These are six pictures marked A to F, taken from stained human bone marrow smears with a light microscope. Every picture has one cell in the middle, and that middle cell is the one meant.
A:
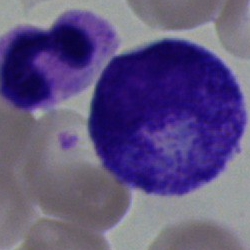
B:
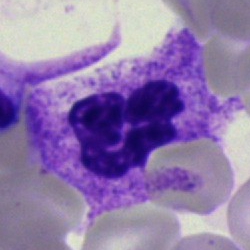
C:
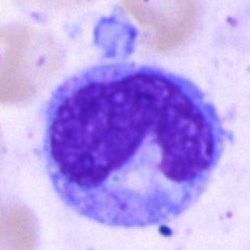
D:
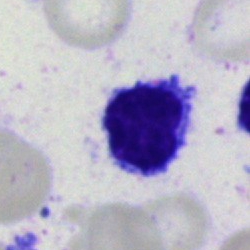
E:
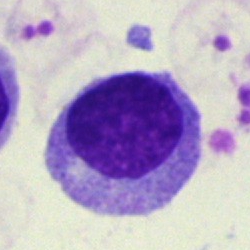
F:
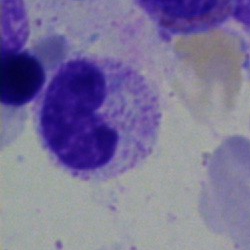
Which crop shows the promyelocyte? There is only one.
A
